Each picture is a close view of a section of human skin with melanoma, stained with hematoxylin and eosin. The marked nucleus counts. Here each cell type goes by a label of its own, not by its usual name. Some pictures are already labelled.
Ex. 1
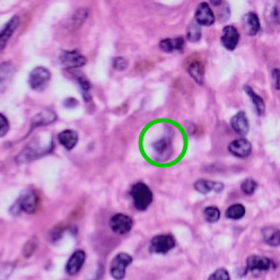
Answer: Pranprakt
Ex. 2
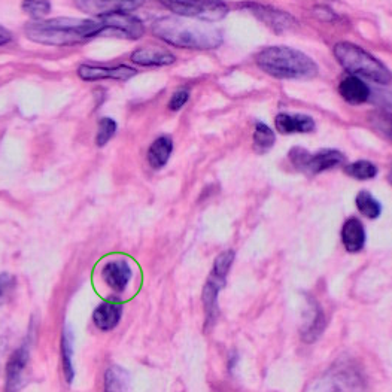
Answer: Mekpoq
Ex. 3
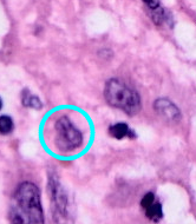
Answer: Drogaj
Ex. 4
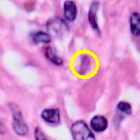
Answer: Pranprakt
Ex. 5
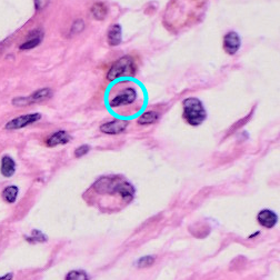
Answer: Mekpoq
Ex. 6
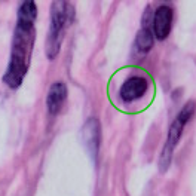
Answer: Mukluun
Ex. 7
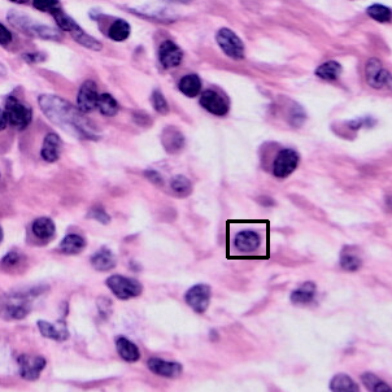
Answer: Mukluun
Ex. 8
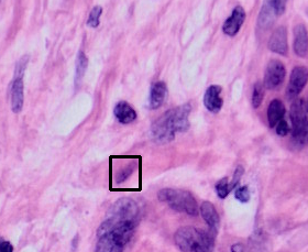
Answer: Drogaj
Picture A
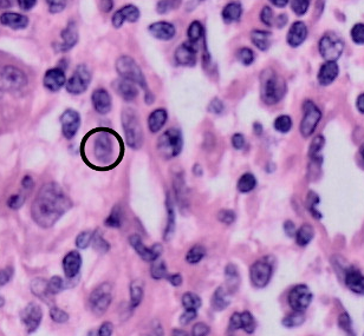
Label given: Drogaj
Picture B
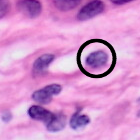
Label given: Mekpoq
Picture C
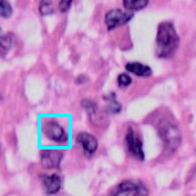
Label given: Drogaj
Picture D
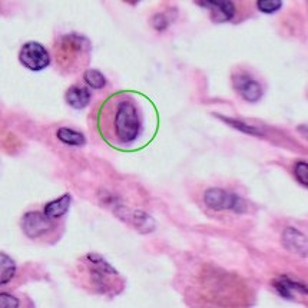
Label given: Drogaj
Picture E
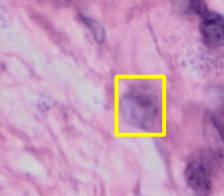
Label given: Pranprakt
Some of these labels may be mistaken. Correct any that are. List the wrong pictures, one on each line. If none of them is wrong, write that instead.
None of the labels needs changing.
